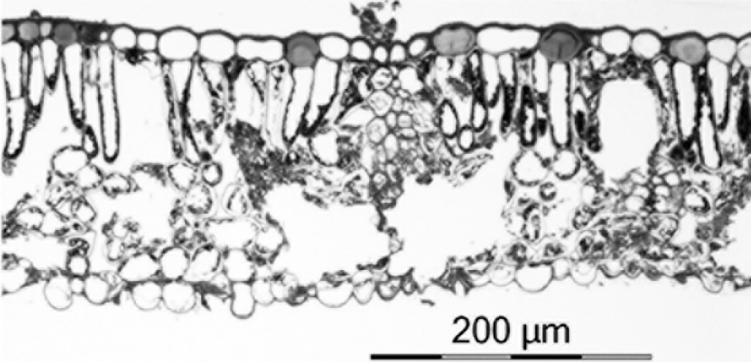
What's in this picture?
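A leaf cross-section with a single upper epidermis of rounded cells, some with dark contents, beneath which runs one row of elongated, column-shaped palisade cells with gaps between them. A lower epidermis of small rounded cells forms the lower surface.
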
